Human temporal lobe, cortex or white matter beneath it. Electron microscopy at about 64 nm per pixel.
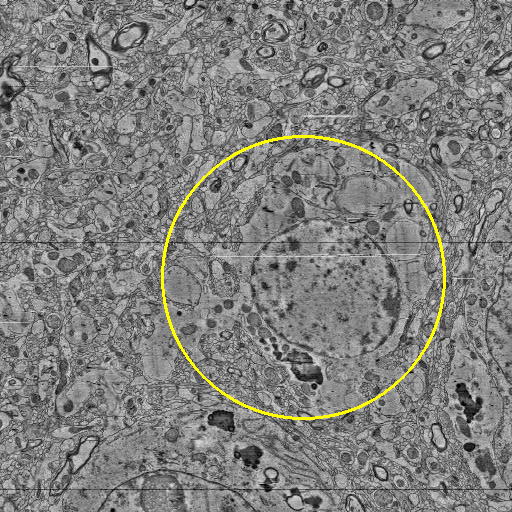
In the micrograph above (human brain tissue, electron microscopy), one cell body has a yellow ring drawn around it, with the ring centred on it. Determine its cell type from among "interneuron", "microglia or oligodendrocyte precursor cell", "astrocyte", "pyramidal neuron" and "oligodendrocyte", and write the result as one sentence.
The cell whose body is ringed is an astrocyte.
